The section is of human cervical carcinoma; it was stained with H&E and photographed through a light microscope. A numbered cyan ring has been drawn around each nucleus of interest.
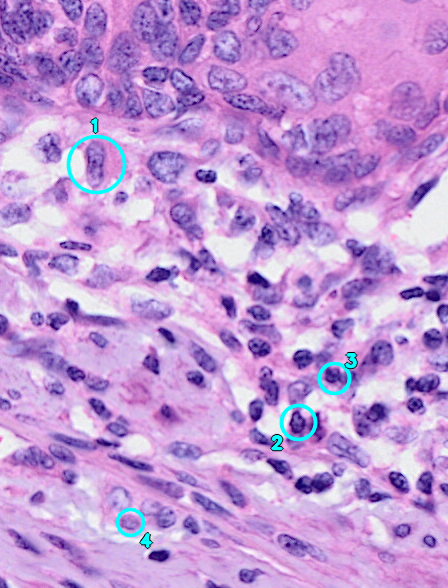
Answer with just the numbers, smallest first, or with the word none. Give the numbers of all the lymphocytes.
2, 3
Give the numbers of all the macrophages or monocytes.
1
